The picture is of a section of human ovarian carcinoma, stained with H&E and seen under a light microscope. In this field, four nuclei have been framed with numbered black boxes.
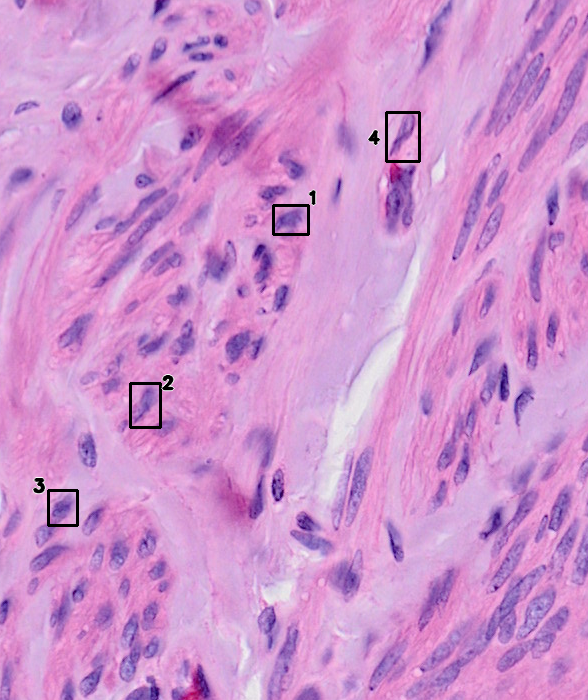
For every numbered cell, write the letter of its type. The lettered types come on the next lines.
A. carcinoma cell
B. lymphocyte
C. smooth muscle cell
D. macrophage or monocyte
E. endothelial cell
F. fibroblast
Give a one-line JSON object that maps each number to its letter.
{"1": "C", "2": "C", "3": "C", "4": "E"}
